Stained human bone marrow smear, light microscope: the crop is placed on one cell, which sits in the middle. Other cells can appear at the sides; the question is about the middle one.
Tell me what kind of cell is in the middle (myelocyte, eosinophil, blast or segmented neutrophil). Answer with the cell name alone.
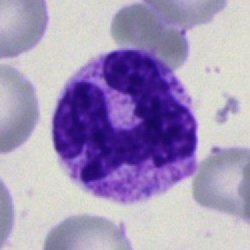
segmented neutrophil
